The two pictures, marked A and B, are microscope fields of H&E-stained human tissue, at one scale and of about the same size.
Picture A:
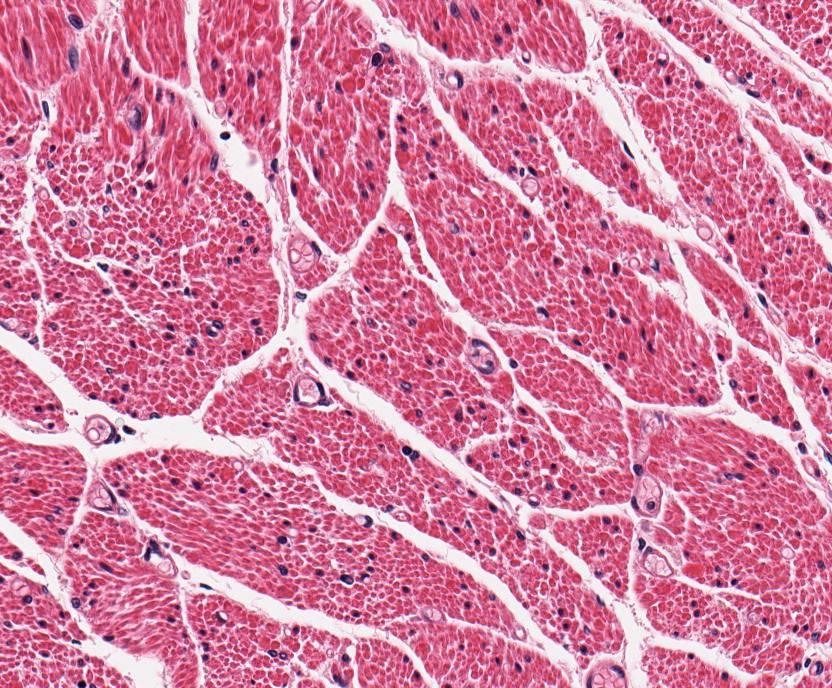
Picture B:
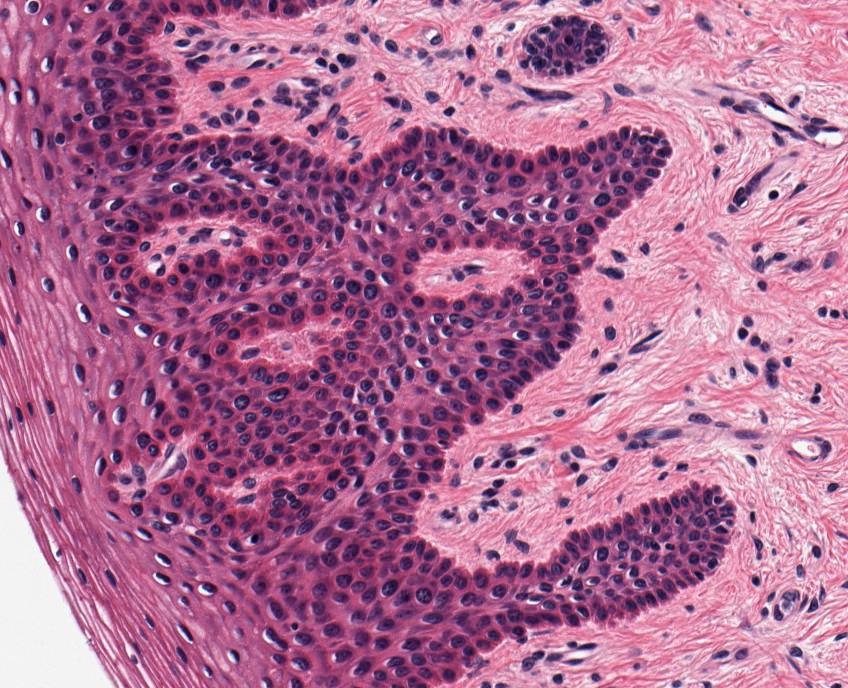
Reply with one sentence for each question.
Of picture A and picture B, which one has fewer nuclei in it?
It is picture A that has fewer nuclei in it.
